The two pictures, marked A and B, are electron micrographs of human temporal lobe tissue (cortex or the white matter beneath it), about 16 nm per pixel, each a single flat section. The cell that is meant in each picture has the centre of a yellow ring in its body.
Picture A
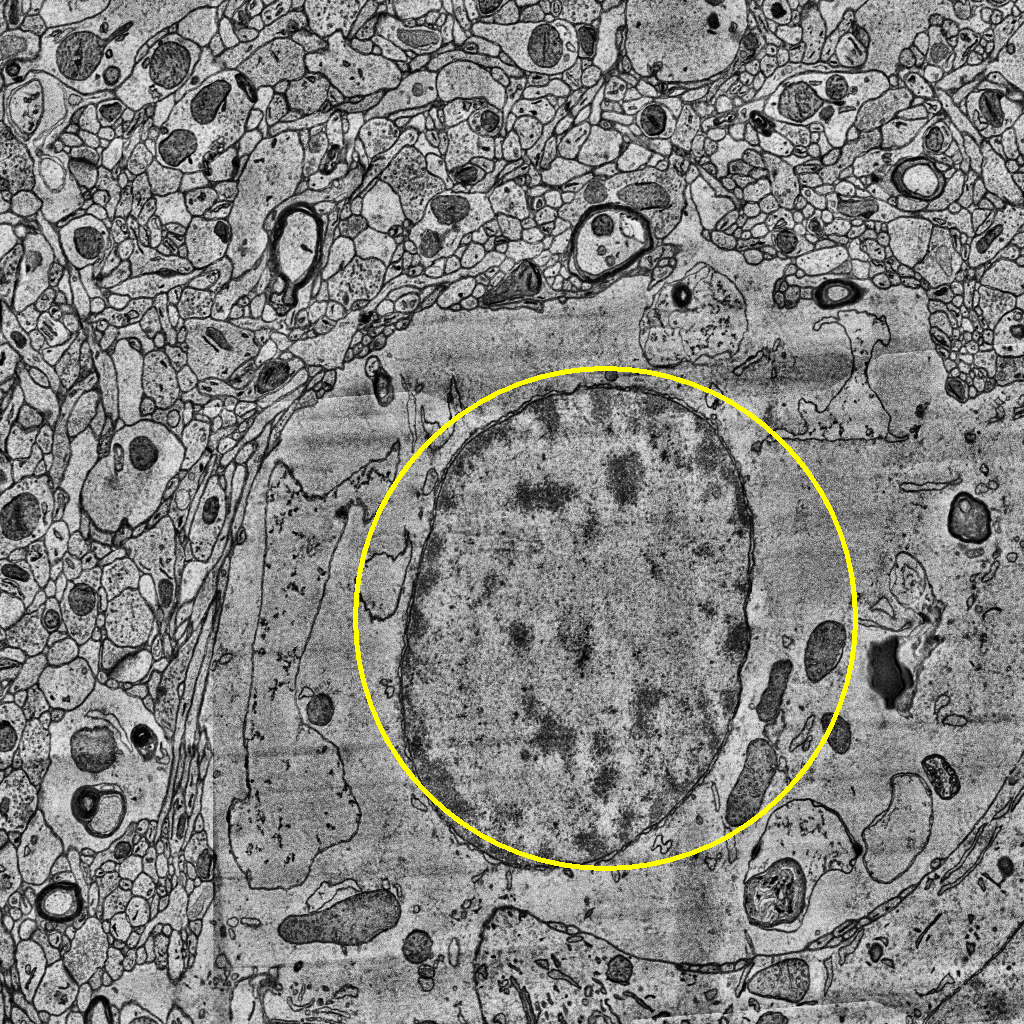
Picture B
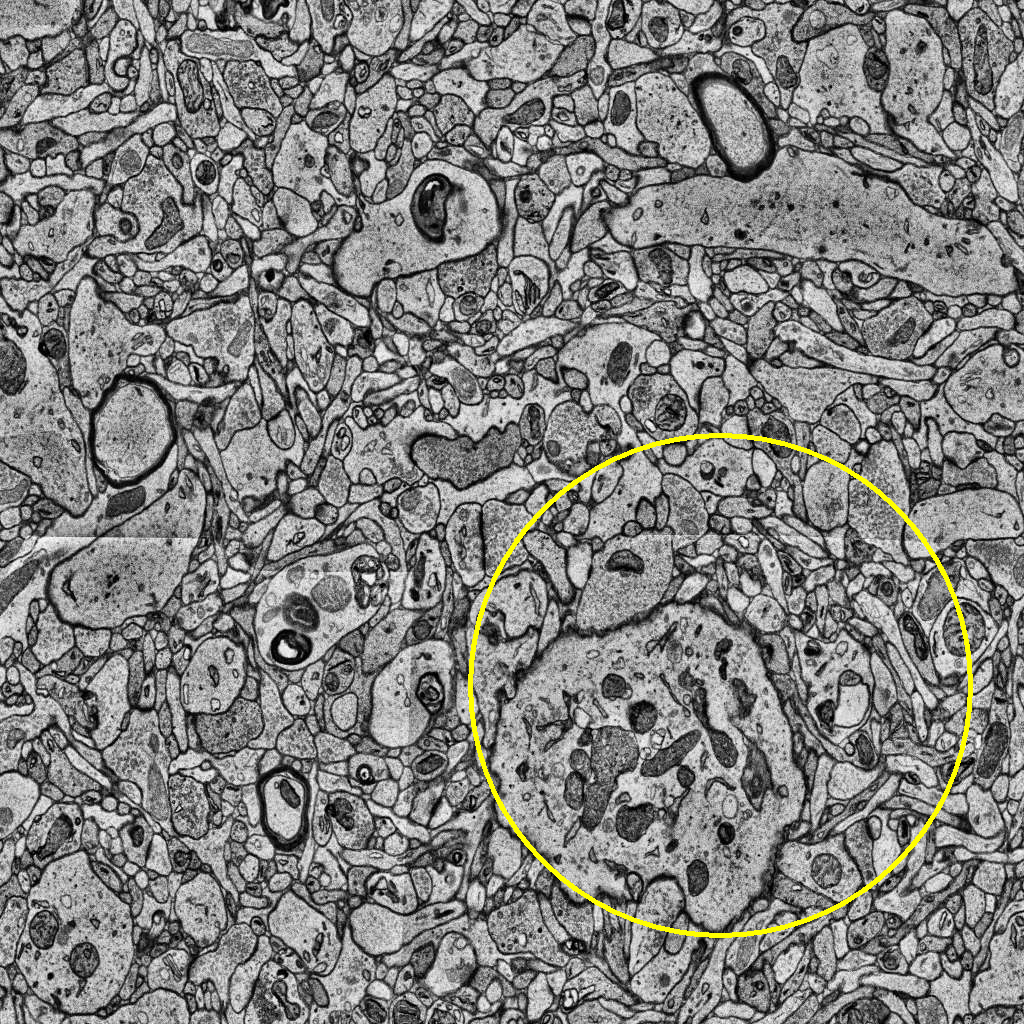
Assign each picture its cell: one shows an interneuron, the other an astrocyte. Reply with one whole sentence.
It is picture A that shows an astrocyte, and picture B that shows an interneuron.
